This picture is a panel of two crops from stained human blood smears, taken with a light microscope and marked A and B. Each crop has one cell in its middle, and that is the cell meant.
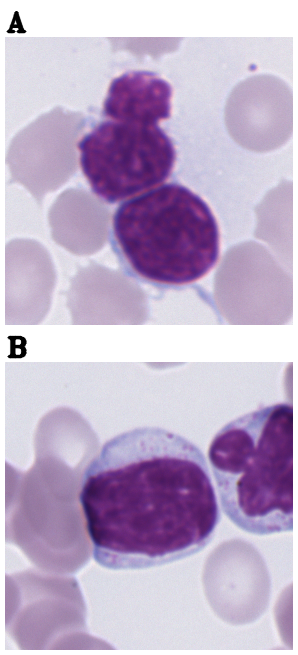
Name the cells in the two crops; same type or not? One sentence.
No, crop A represents a myeloblast, and crop B represents a large granular lymphocyte.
